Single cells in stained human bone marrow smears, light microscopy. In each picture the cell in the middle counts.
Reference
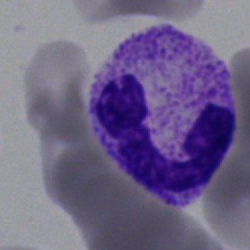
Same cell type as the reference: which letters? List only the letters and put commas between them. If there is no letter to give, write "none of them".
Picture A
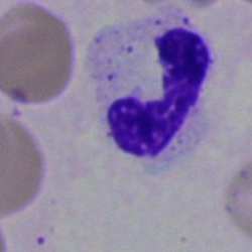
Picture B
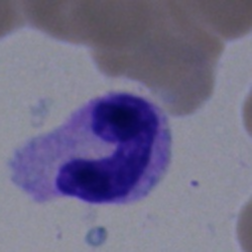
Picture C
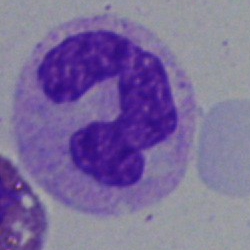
none of them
